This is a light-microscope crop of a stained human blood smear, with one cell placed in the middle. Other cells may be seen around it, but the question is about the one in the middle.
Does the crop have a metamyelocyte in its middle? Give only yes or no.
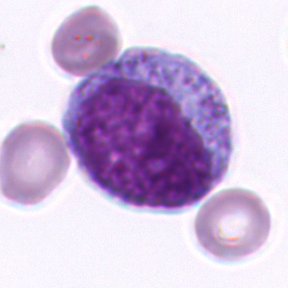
no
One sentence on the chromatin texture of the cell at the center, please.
Heads up, the chromatin is fine with no coarse clumps in it.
